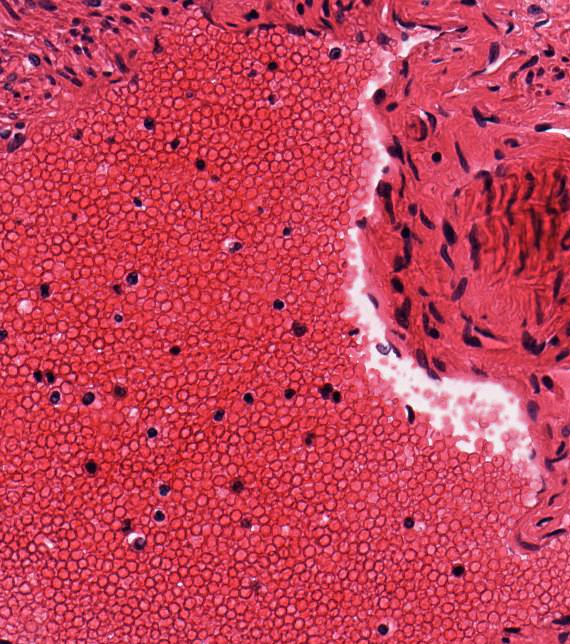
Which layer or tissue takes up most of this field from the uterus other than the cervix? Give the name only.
blood in a vessel or clot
